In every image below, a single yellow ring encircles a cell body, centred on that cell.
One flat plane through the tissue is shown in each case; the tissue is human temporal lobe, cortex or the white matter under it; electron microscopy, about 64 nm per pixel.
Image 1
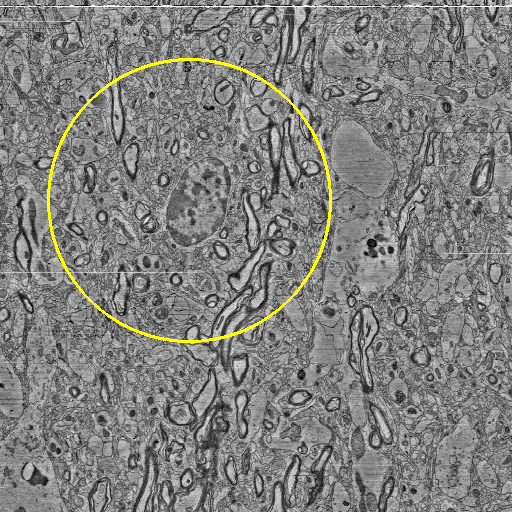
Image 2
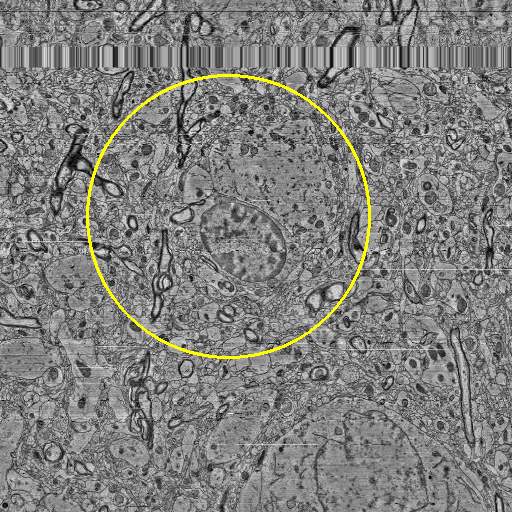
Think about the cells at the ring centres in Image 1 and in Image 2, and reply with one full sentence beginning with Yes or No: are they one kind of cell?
No, the cells centred in the rings of Image 1 and Image 2 are two kinds of cell.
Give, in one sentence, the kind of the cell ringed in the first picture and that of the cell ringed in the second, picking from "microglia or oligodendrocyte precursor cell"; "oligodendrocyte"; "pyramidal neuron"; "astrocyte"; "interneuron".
For the first picture it is a microglial cell or oligodendrocyte precursor cell; for the second, an oligodendrocyte.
